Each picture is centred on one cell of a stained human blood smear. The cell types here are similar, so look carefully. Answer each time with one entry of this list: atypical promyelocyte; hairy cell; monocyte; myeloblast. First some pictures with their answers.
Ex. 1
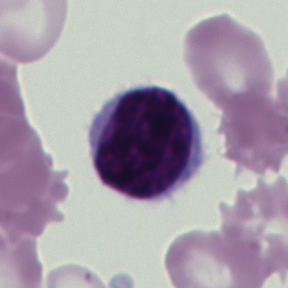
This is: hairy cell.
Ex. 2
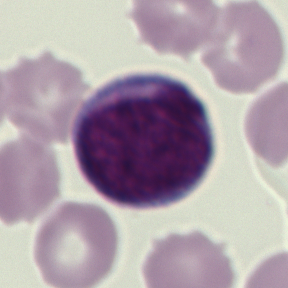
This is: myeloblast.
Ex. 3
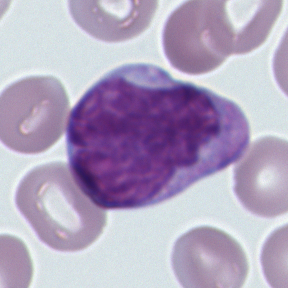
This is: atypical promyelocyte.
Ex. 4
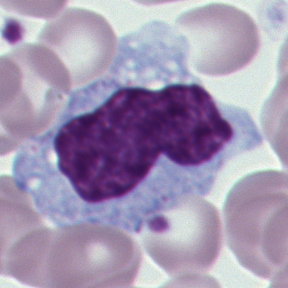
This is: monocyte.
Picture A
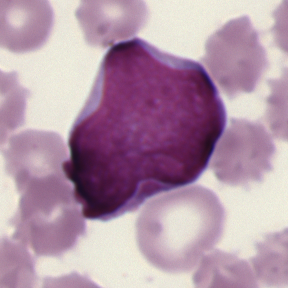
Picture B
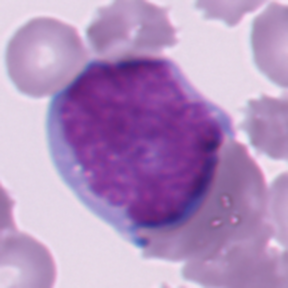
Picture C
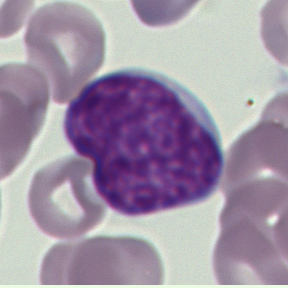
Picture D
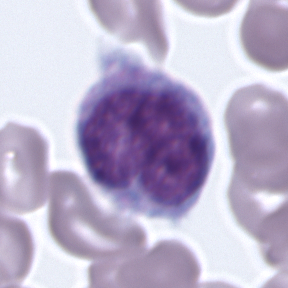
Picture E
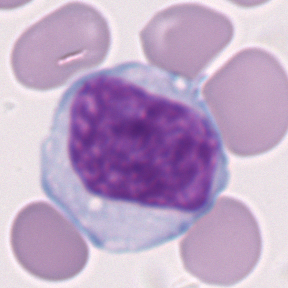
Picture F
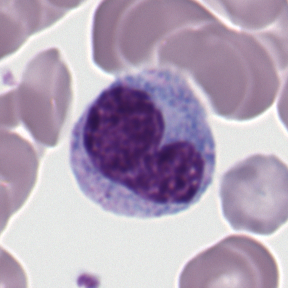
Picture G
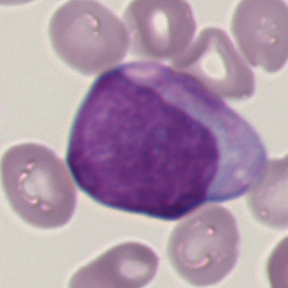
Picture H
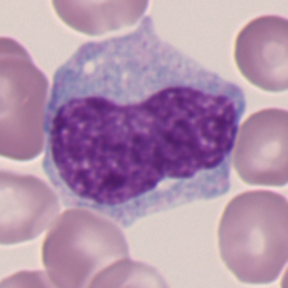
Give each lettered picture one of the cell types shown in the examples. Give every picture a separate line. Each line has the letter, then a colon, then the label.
A: myeloblast.
B: myeloblast.
C: myeloblast.
D: monocyte.
E: myeloblast.
F: monocyte.
G: atypical promyelocyte.
H: monocyte.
